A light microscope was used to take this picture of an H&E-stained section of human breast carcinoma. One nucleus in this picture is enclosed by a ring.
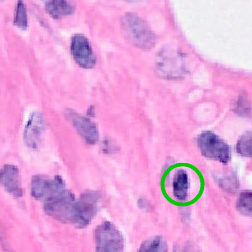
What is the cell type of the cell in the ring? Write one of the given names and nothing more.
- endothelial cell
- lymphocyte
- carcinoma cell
lymphocyte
